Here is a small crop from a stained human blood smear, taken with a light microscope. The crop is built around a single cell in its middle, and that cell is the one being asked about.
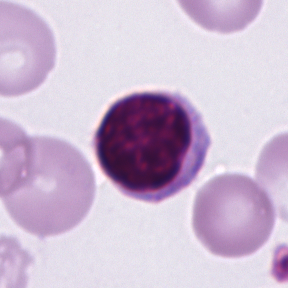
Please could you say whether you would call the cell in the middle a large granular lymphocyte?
no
